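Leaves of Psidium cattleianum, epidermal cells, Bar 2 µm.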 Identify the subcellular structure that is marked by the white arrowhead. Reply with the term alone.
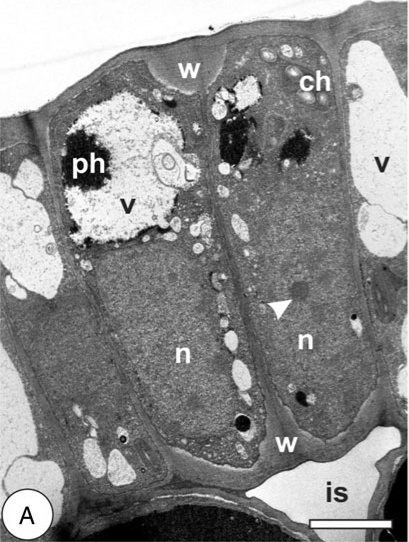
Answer: Nucleoli.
